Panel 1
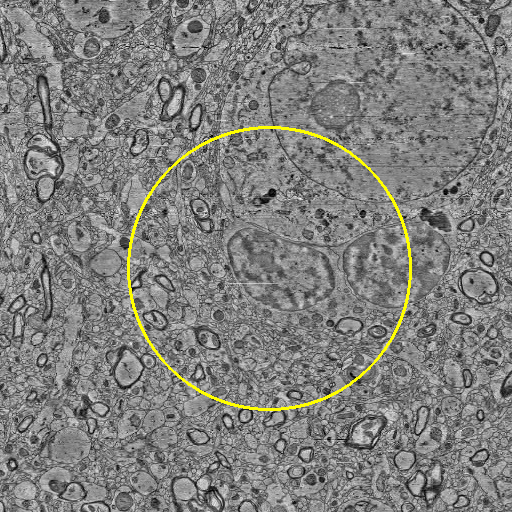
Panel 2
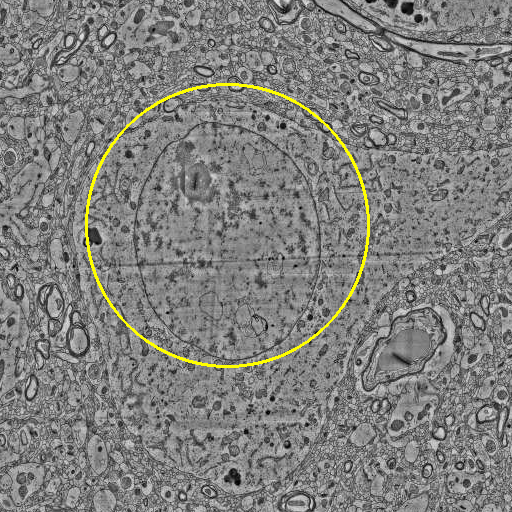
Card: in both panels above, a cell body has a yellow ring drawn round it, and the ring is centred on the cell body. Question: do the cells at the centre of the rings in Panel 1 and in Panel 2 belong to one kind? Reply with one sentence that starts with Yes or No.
No, the cells centred in the rings of Panel 1 and Panel 2 are two kinds of cell.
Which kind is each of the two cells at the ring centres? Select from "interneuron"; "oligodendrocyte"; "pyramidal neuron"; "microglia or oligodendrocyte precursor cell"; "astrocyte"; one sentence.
The cell at the centre of the ring is an oligodendrocyte in the first picture and a pyramidal neuron in the second.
